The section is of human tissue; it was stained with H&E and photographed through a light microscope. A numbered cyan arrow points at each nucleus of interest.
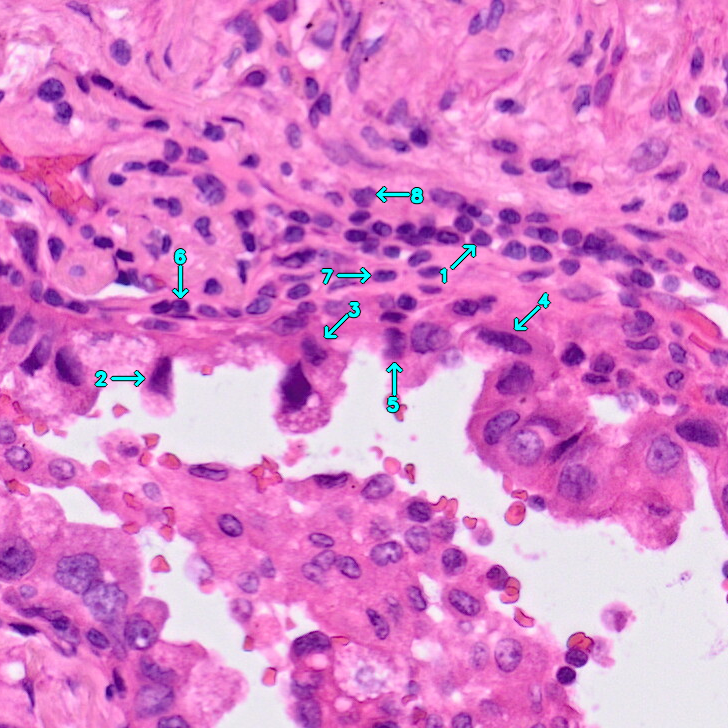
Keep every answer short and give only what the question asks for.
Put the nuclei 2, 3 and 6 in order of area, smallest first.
6, 3, 2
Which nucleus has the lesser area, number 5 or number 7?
7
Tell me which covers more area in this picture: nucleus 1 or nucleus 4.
4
